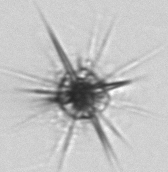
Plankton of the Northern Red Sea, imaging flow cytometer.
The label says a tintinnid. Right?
Wrong: this is a radiolarian.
